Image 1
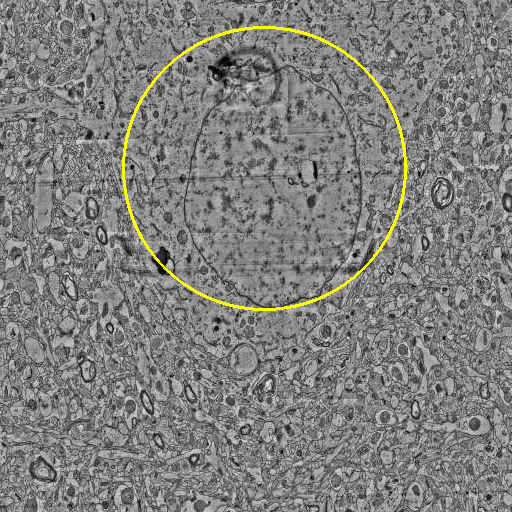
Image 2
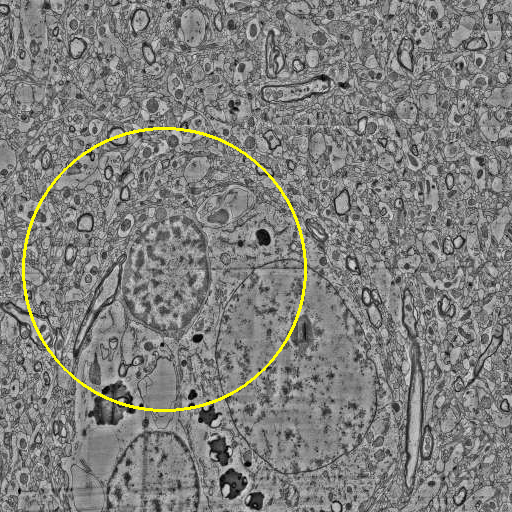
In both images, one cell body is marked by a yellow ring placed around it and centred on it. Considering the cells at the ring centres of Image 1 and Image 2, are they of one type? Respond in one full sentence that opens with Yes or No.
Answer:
No, two types apply to the ring-centred cells of Image 1 and Image 2.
